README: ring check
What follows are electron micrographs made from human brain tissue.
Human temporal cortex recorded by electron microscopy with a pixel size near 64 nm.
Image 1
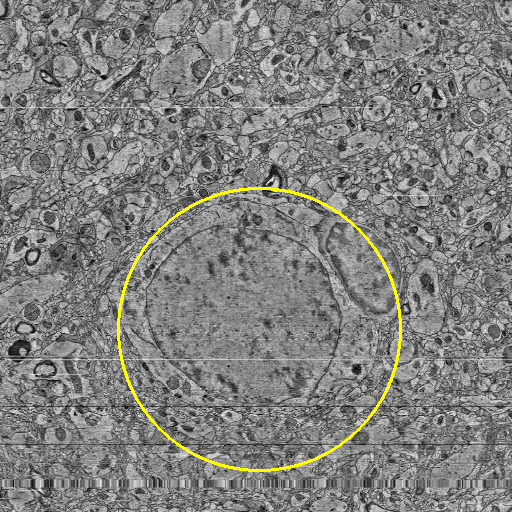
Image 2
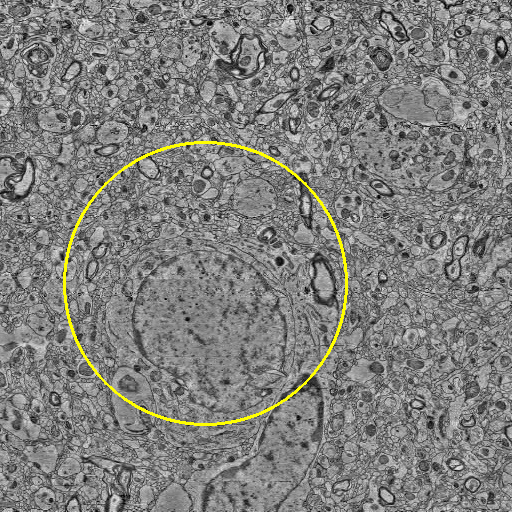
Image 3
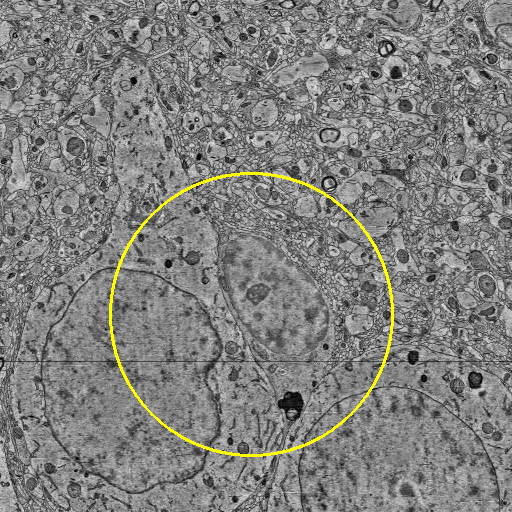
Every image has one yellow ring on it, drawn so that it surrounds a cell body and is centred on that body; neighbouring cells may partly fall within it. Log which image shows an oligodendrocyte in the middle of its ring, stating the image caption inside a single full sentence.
Image 3 is where the cell at the ring's centre matches the one asked for.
